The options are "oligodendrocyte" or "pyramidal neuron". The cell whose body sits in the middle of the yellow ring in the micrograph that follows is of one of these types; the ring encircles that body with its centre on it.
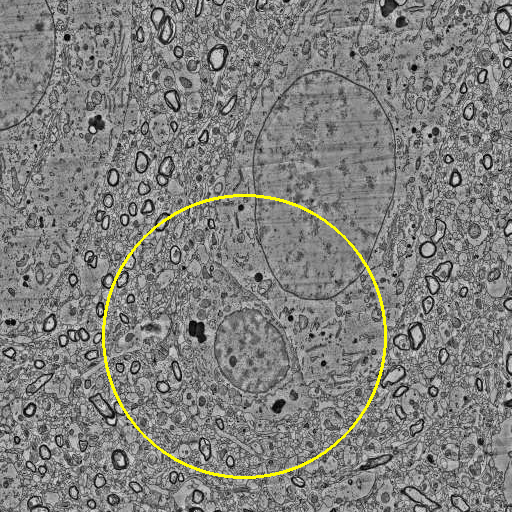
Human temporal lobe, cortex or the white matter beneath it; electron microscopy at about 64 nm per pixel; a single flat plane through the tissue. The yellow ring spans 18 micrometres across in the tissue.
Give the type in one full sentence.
Going by the micrograph, the cell centred in the yellow ring is an oligodendrocyte.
